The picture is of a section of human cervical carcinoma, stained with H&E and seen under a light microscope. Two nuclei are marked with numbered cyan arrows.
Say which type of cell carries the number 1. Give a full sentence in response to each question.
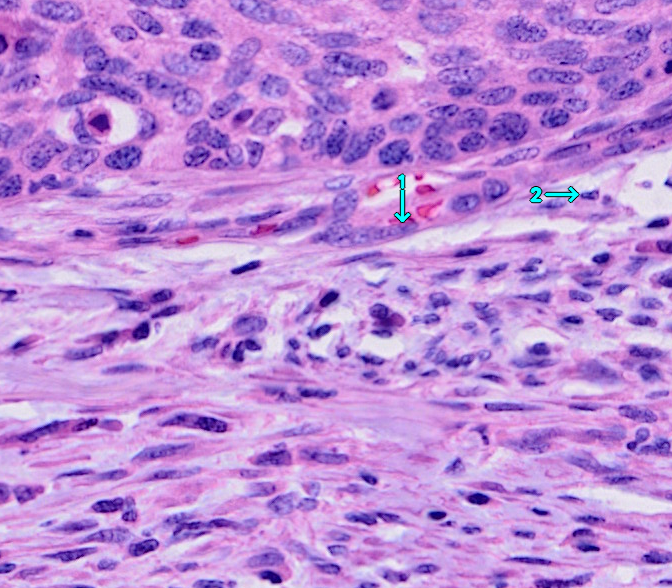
The cell pointed out as number 1 is an endothelial cell.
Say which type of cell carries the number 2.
In this section, number 2 marks a lymphocyte.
